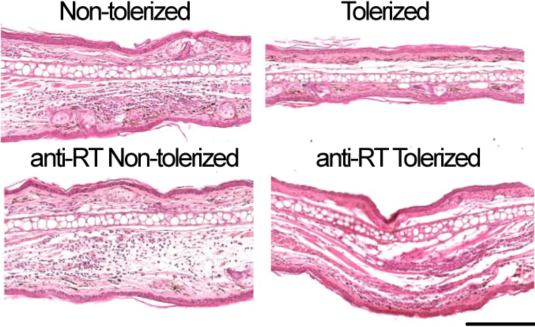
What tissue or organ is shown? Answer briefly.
Ear pinnae.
